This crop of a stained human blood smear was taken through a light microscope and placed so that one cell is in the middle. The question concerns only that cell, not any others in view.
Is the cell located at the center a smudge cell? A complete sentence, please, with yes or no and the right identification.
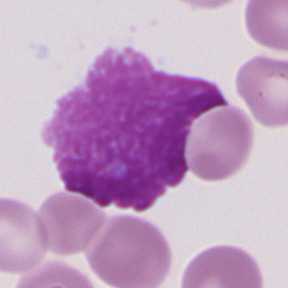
Yes, the cell of interest in the centre is a smudge cell.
